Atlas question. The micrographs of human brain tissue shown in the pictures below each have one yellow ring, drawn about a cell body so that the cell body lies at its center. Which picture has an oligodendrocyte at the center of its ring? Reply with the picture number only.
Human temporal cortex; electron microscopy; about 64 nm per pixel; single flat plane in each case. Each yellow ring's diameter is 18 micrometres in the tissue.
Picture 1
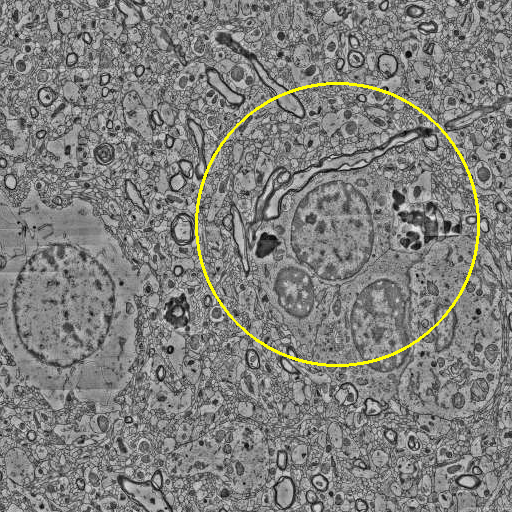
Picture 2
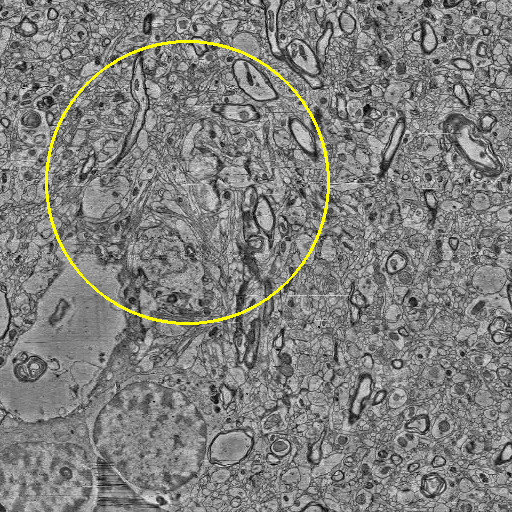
1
